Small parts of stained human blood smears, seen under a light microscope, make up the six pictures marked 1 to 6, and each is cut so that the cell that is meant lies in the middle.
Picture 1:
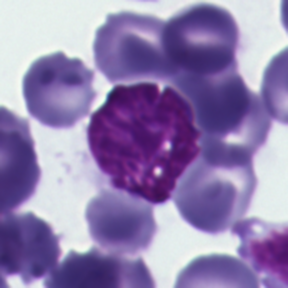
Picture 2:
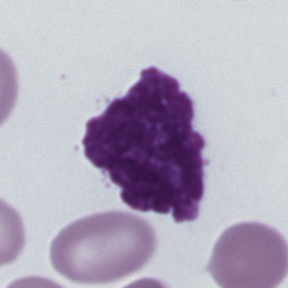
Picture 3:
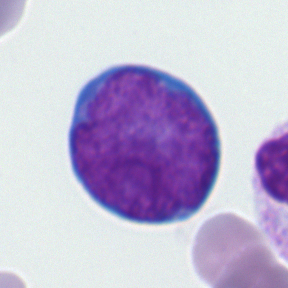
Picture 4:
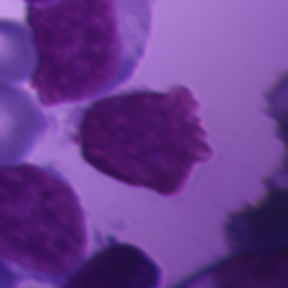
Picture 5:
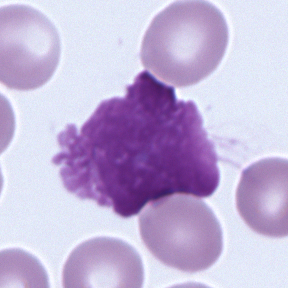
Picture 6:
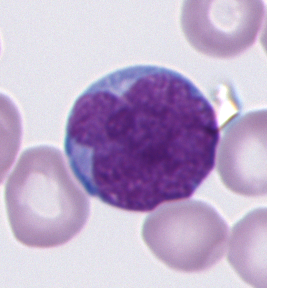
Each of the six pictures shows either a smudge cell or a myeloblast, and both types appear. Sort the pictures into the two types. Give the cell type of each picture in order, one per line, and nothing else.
myeloblast
smudge cell
myeloblast
smudge cell
smudge cell
myeloblast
